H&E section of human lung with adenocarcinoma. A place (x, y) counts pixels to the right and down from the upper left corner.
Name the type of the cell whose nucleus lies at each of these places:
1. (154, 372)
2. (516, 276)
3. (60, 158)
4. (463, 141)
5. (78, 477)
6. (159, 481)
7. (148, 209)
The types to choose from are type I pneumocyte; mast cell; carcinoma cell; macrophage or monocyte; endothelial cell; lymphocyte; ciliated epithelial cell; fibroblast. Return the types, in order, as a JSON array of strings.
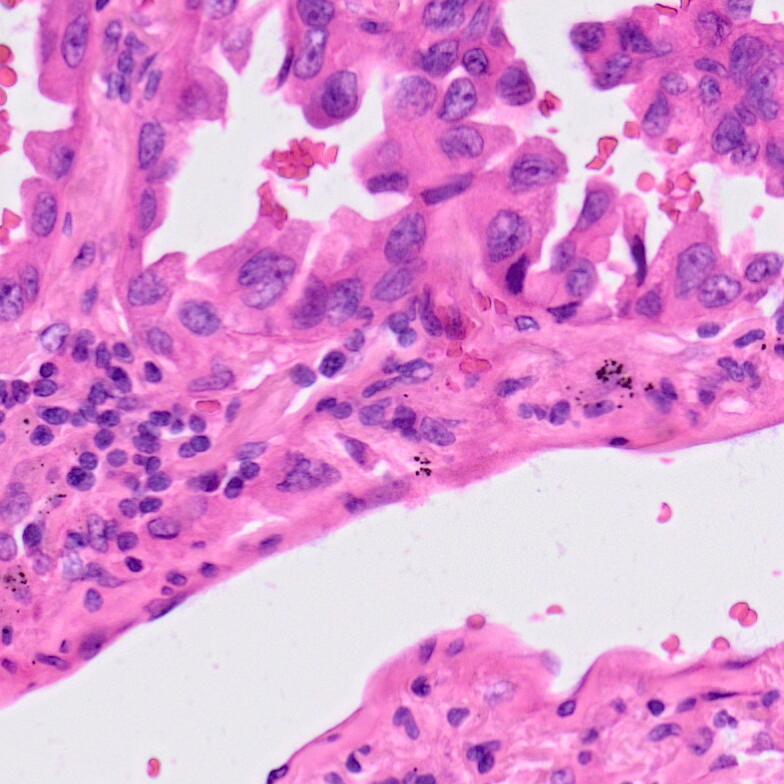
["lymphocyte", "carcinoma cell", "carcinoma cell", "carcinoma cell", "lymphocyte", "lymphocyte", "carcinoma cell"]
